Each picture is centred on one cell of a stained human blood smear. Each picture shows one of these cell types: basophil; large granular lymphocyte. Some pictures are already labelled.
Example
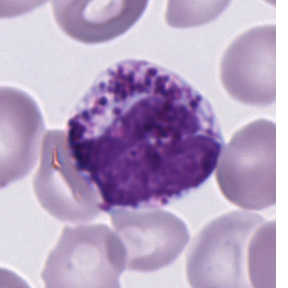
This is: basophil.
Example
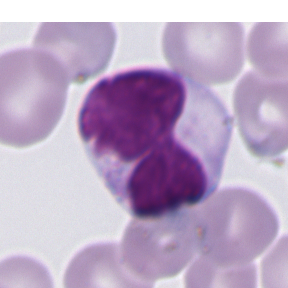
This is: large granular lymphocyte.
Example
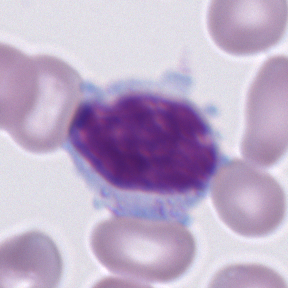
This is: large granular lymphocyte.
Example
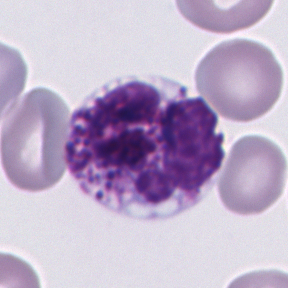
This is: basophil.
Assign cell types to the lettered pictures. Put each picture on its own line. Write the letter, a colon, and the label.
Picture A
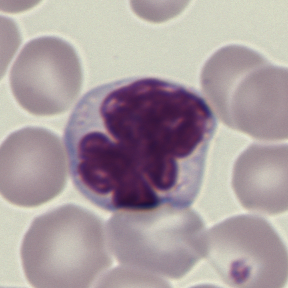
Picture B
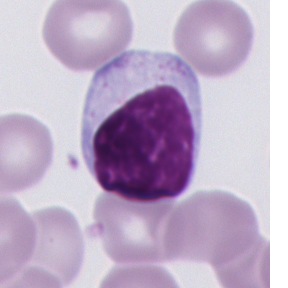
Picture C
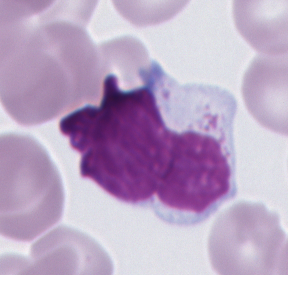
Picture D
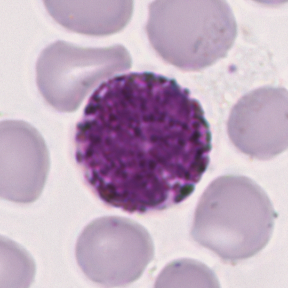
A: large granular lymphocyte.
B: large granular lymphocyte.
C: large granular lymphocyte.
D: basophil.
